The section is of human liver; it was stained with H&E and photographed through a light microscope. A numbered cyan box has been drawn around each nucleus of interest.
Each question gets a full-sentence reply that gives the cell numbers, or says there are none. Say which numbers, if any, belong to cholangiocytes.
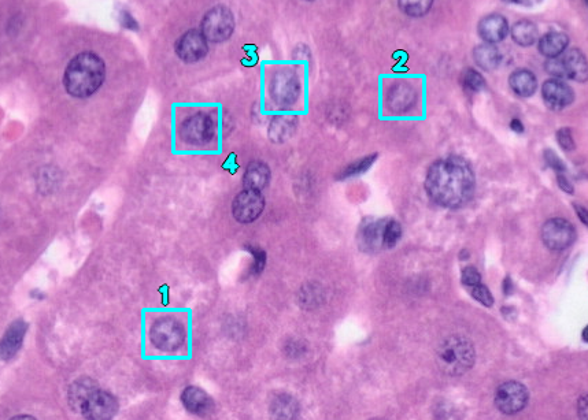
Nothing but cell 3 is a cholangiocyte among the numbered ones.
